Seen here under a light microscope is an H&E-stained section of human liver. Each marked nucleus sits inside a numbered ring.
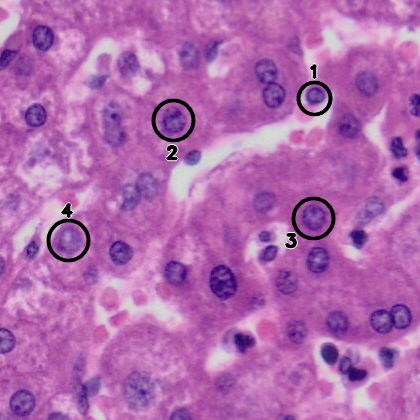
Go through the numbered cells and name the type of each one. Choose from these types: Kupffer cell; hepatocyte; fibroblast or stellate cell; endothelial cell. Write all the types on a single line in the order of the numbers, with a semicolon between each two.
Kupffer cell; hepatocyte; hepatocyte; hepatocyte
